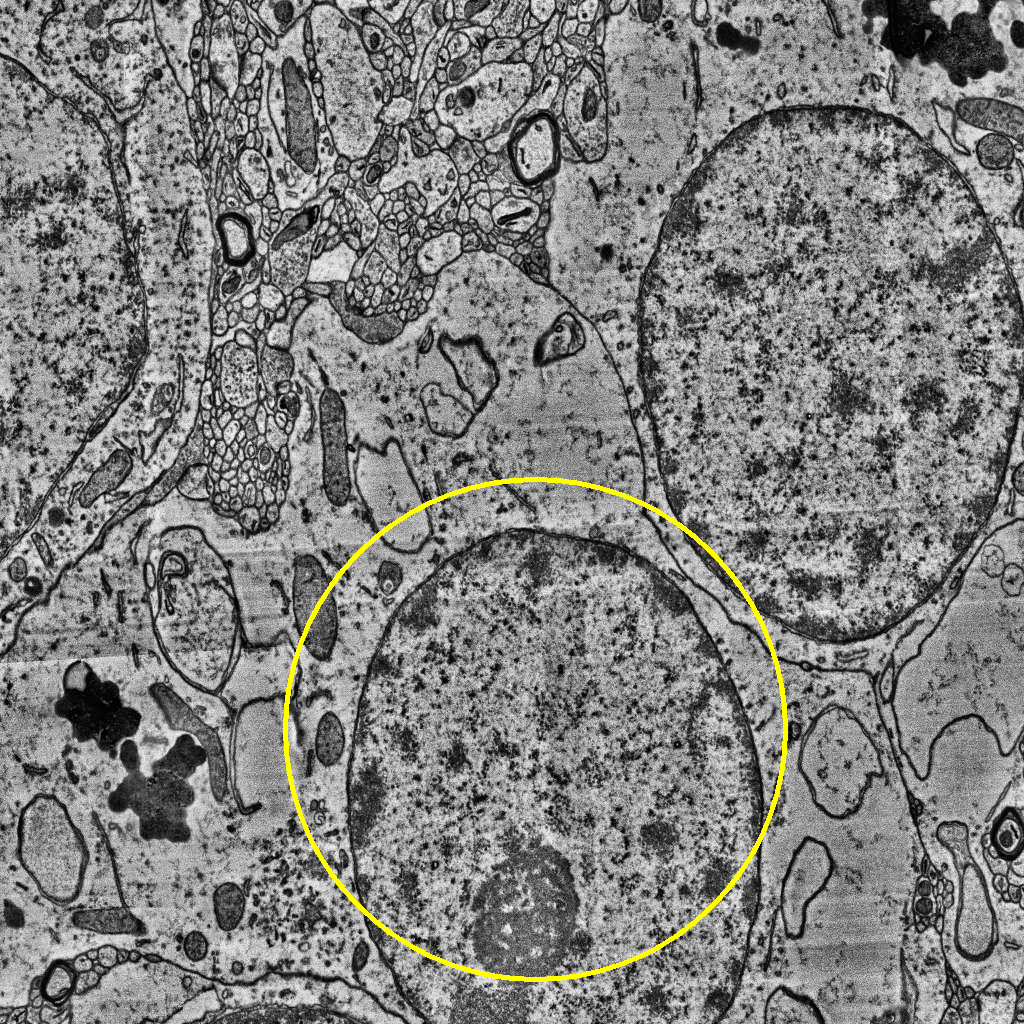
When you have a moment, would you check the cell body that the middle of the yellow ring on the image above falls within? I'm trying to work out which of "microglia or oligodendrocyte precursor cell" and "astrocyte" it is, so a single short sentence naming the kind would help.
This cell body belongs to an astrocyte.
